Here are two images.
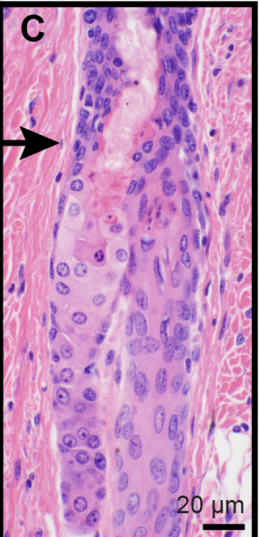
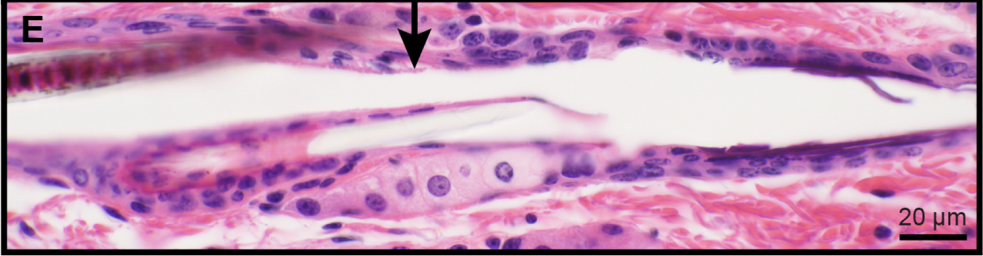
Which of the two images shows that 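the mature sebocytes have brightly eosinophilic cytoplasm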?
The first image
